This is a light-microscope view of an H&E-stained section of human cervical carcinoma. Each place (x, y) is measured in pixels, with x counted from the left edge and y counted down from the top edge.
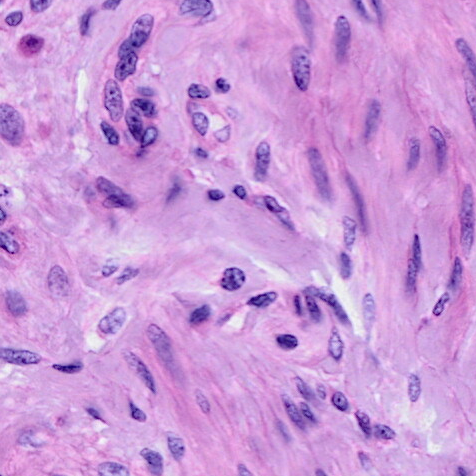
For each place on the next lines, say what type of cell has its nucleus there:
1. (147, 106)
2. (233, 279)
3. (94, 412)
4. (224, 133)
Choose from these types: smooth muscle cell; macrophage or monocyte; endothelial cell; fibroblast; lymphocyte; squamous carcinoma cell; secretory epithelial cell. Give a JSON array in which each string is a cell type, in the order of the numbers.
["endothelial cell", "lymphocyte", "fibroblast", "endothelial cell"]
